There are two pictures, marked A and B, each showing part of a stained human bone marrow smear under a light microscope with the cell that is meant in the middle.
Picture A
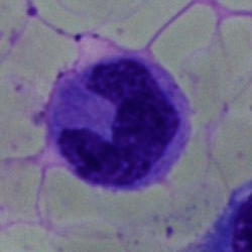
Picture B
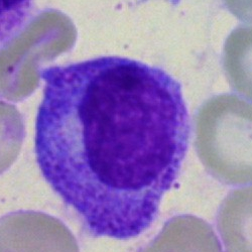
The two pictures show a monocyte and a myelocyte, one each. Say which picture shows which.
A: monocyte
B: myelocyte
